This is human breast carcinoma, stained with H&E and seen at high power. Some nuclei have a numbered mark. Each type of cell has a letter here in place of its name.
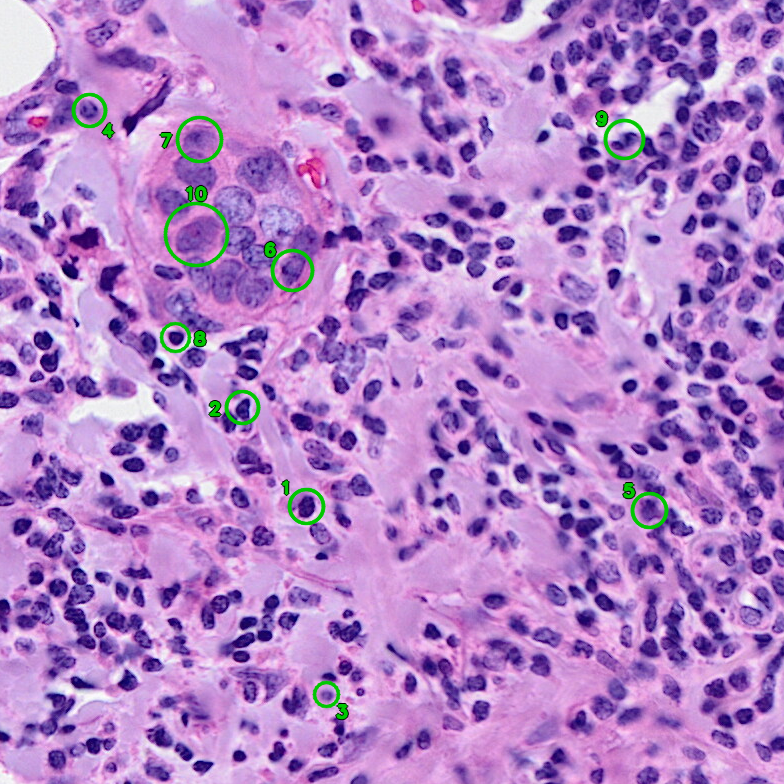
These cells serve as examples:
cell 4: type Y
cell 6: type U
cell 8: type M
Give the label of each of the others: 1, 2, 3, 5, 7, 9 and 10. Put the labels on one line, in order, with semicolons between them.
type M; type M; type Y; type M; type U; type M; type U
